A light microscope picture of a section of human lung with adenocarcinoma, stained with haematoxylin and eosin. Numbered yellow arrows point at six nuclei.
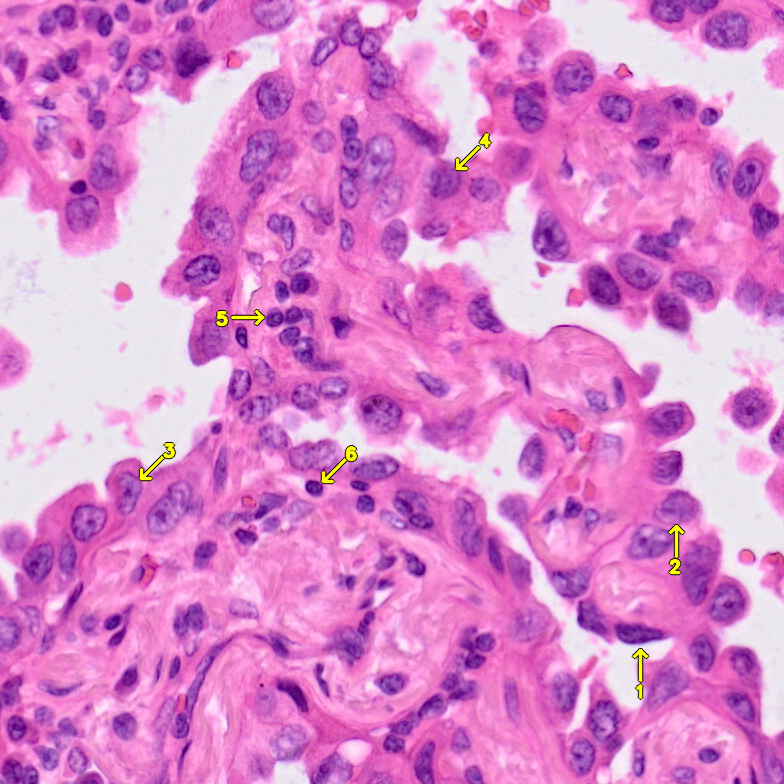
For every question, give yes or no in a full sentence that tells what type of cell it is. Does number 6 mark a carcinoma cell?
No, what number 6 shows is a lymphocyte, not a carcinoma cell.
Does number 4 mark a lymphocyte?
No, not a lymphocyte: the cell with number 4 is a carcinoma cell.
